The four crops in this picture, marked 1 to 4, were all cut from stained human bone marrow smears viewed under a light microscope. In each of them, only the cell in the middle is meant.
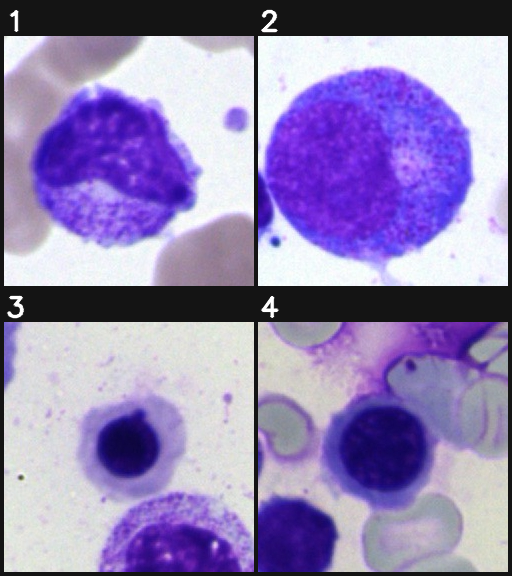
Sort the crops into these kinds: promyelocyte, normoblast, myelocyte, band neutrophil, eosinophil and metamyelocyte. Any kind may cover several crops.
1: metamyelocyte
2: promyelocyte
3: normoblast
4: normoblast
